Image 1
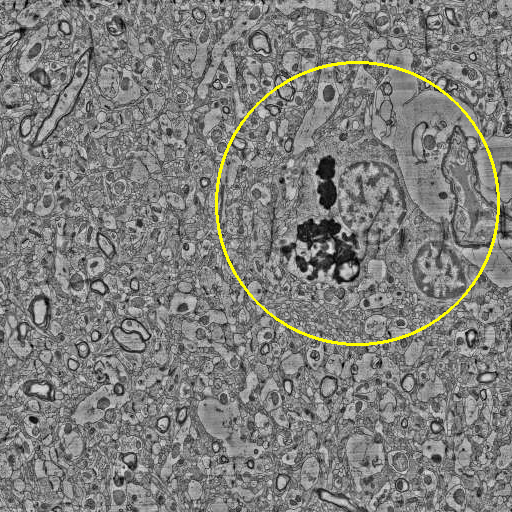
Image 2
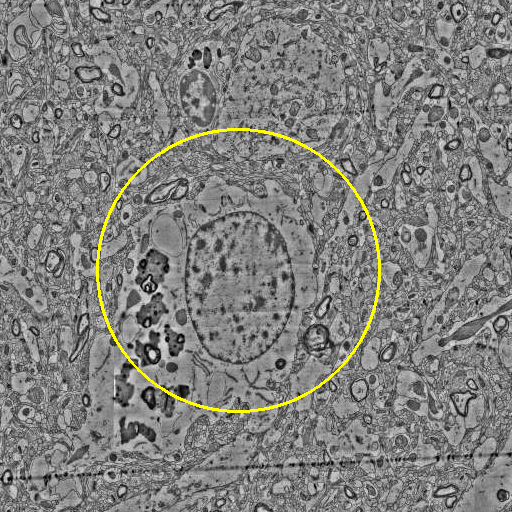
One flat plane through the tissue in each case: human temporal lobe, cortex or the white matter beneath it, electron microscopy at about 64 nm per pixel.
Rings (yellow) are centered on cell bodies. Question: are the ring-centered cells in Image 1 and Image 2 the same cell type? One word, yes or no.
no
